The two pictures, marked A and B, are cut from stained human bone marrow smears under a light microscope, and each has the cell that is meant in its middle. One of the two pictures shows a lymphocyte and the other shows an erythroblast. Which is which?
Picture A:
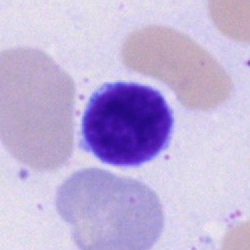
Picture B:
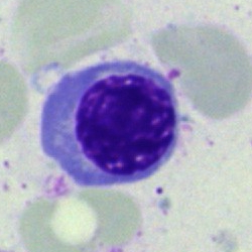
A: lymphocyte
B: erythroblast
